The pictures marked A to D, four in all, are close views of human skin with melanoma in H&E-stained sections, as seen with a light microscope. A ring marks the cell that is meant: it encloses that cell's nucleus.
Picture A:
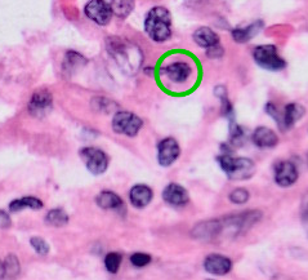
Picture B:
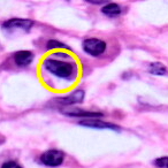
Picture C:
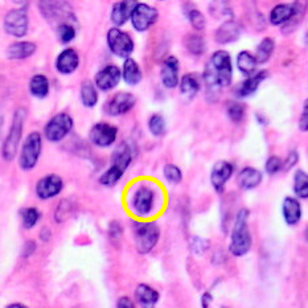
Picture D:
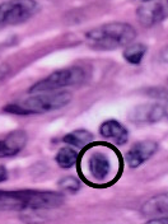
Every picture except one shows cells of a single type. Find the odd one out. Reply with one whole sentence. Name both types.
Unlike the rest, which show lymphocytes, picture B shows a plasma cell.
